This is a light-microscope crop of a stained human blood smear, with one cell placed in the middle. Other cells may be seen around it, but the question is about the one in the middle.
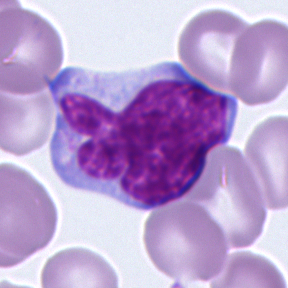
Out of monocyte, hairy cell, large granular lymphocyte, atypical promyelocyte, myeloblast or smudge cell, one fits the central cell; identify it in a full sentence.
The cell sitting right in the middle is a myeloblast.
